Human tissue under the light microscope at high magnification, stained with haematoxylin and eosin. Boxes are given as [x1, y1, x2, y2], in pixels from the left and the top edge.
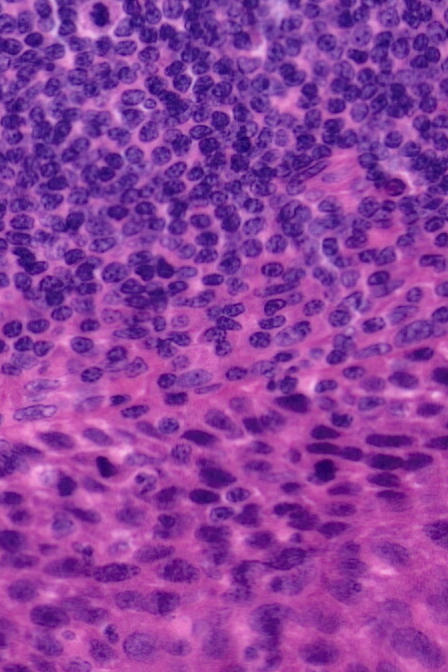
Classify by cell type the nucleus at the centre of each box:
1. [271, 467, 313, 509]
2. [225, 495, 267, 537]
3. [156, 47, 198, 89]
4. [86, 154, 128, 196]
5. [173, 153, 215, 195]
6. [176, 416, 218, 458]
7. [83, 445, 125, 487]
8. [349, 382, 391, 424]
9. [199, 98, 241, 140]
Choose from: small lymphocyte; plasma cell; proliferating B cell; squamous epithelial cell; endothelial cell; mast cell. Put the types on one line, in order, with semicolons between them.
squamous epithelial cell; squamous epithelial cell; small lymphocyte; small lymphocyte; small lymphocyte; squamous epithelial cell; squamous epithelial cell; squamous epithelial cell; small lymphocyte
